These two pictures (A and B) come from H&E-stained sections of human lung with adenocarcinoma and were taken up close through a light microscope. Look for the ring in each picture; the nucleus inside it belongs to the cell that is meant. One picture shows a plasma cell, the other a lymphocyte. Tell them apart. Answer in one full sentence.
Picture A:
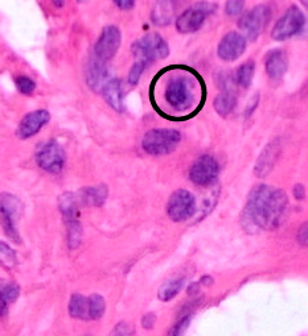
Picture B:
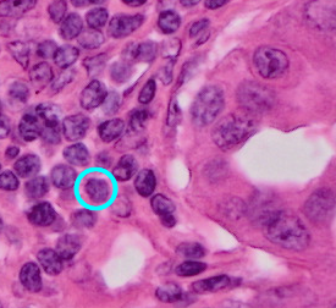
Picture A shows a plasma cell and picture B shows a lymphocyte.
